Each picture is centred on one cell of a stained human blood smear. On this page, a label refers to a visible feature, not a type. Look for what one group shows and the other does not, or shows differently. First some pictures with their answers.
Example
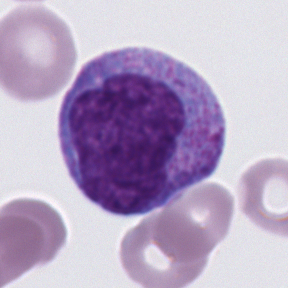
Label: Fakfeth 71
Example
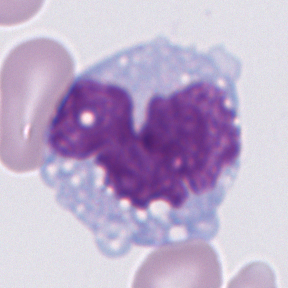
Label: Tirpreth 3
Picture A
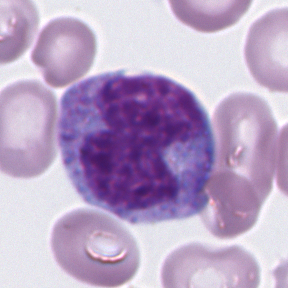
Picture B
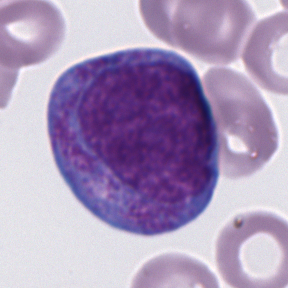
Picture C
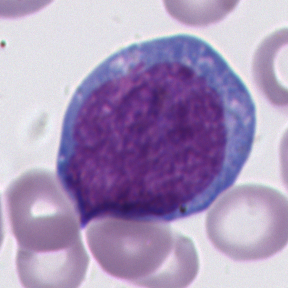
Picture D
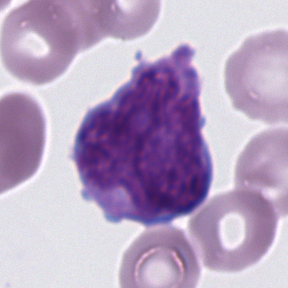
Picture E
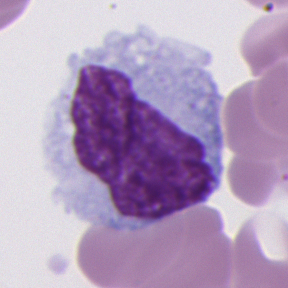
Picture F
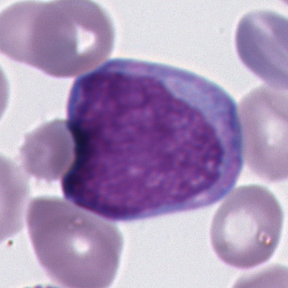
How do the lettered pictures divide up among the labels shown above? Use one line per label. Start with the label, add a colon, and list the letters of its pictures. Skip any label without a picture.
Fakfeth 71: A, B
Tirpreth 3: C, D, E, F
